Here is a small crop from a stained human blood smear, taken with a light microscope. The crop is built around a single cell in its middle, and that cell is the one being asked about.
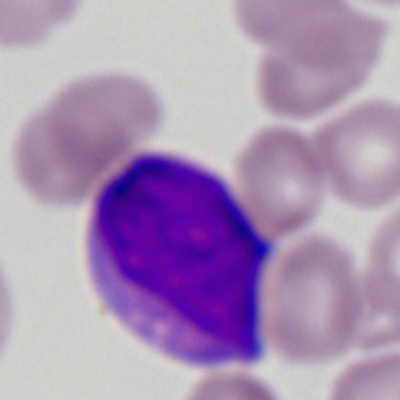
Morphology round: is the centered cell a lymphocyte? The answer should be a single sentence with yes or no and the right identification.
No, the correct answer for the middle cell is a myeloblast, not a lymphocyte.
